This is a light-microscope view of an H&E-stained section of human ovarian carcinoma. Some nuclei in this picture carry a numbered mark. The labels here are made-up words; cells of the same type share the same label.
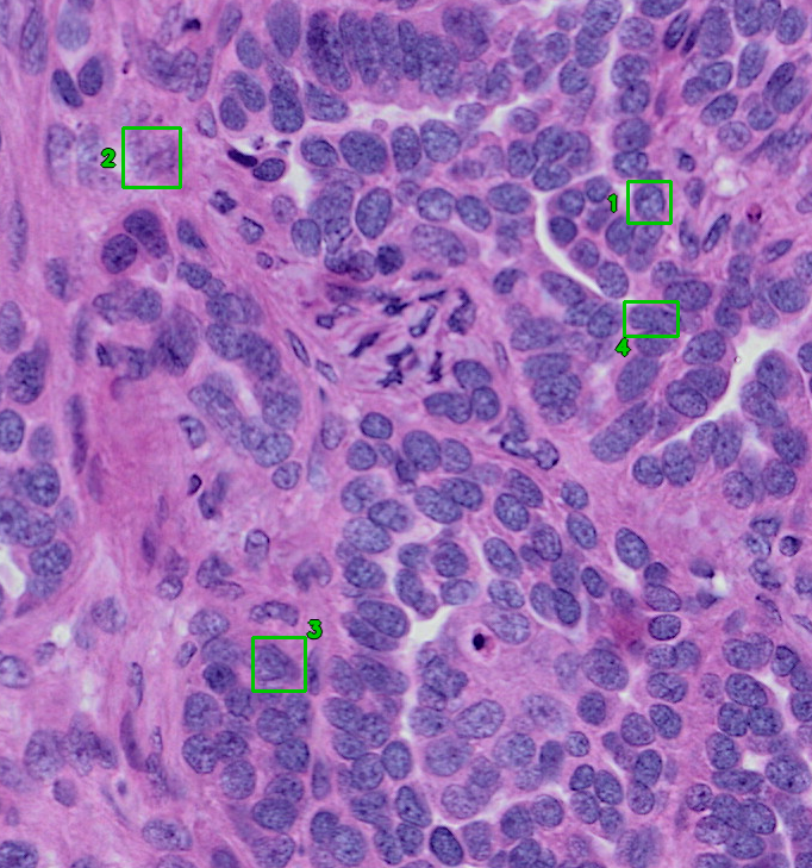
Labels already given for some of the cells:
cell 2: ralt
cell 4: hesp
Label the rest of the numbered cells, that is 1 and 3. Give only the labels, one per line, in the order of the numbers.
hesp
hesp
